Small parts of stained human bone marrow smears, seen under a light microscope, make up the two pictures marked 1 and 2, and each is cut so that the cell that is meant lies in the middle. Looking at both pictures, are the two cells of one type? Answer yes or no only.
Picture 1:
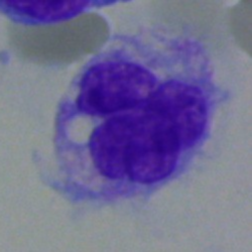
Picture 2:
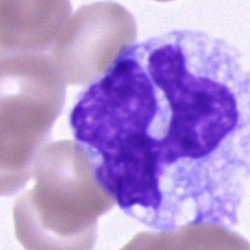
yes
